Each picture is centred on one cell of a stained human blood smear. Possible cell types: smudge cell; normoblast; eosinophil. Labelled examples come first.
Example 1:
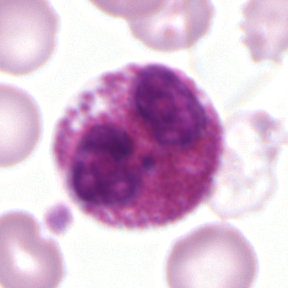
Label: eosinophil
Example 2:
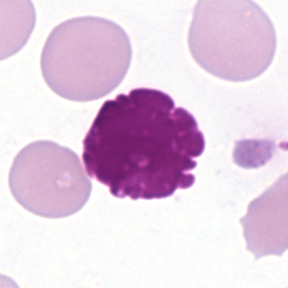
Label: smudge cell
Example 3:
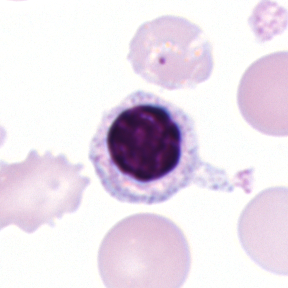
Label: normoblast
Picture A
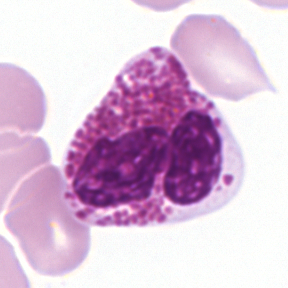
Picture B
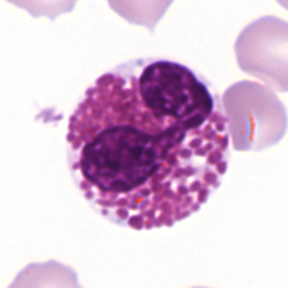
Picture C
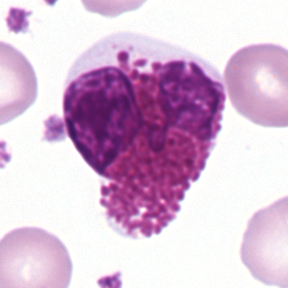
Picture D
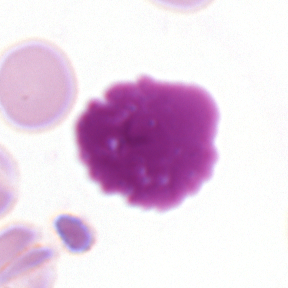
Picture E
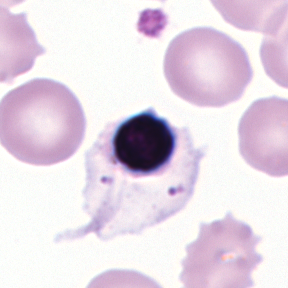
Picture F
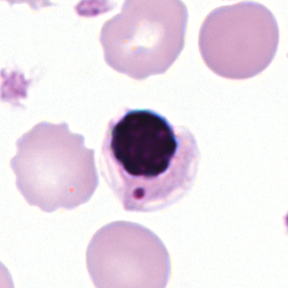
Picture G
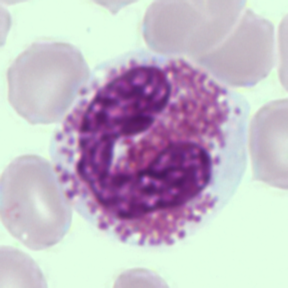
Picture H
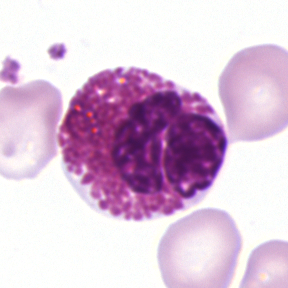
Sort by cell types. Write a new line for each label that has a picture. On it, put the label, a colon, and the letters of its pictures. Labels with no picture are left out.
smudge cell: D
normoblast: E, F
eosinophil: A, B, C, G, H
